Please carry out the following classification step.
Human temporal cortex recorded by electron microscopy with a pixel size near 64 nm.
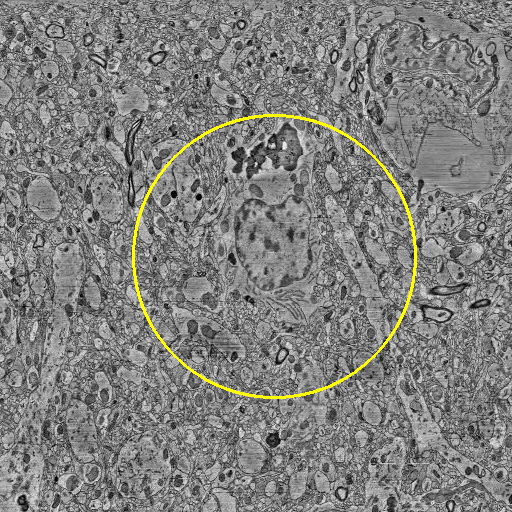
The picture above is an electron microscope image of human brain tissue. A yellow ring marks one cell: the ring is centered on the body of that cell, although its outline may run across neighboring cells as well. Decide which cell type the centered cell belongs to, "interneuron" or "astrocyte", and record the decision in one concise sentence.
The cell centered in the yellow ring is an astrocyte.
